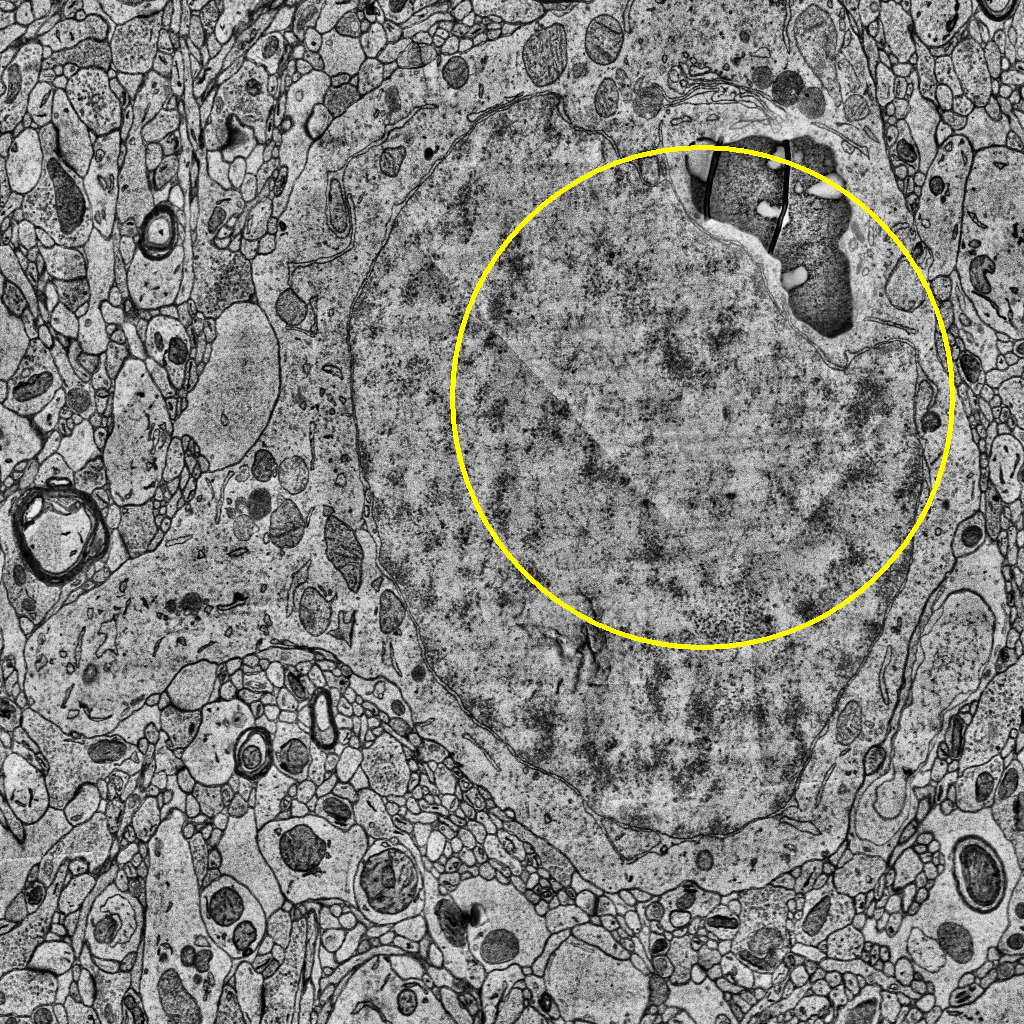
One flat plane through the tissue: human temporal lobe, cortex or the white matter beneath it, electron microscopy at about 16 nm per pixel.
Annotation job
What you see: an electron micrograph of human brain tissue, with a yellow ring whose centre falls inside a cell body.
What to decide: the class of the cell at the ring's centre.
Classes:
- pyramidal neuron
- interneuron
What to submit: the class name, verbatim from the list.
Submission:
interneuron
